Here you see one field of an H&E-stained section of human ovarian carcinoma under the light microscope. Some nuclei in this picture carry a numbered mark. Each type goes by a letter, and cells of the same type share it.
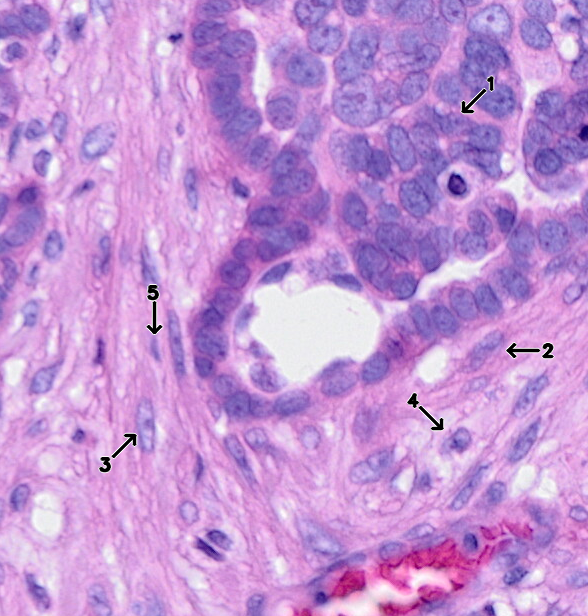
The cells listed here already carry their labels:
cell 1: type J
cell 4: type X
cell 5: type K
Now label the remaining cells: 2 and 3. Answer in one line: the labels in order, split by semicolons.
type K; type K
